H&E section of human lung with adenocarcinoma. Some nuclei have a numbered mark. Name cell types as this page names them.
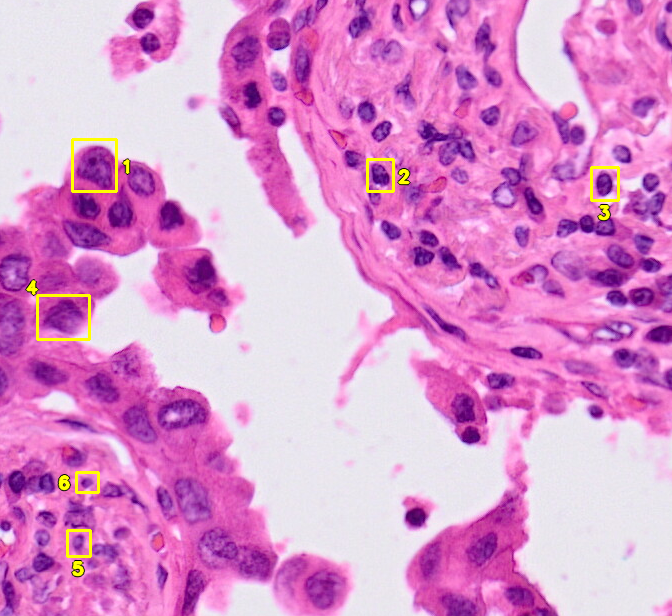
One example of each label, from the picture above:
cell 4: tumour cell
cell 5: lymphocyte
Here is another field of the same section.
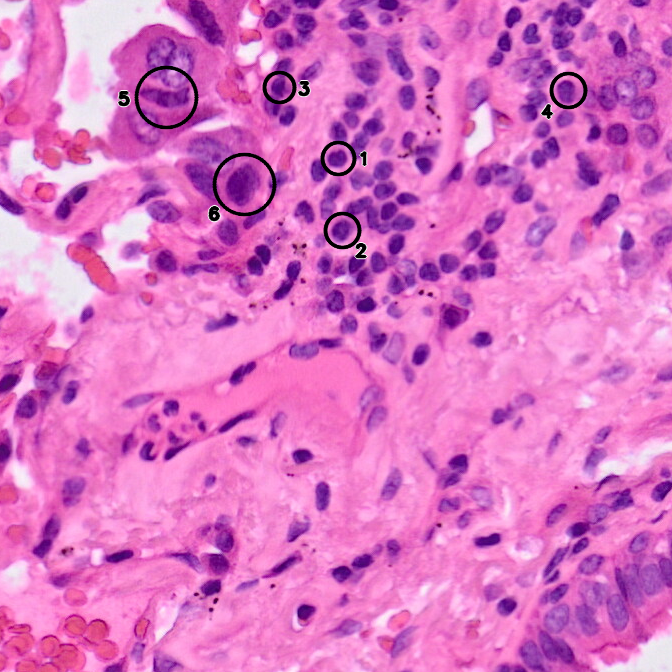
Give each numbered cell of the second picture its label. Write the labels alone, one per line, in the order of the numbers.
lymphocyte
lymphocyte
lymphocyte
lymphocyte
tumour cell
tumour cell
